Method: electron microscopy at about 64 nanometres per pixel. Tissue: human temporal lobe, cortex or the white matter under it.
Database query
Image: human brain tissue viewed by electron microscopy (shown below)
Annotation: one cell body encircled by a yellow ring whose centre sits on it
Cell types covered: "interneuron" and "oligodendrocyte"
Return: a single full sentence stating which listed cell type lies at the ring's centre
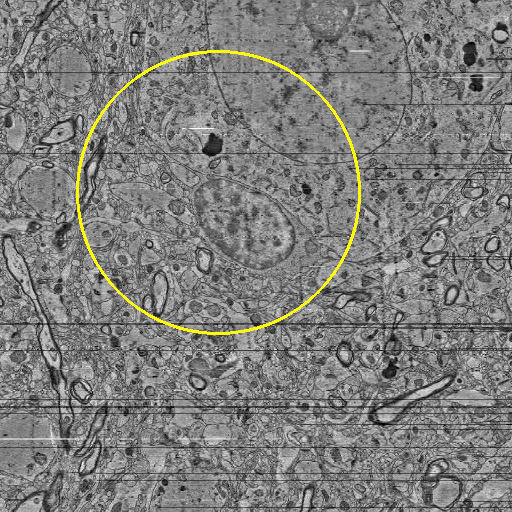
In the image, the cell lying at the ring's centre is an oligodendrocyte.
